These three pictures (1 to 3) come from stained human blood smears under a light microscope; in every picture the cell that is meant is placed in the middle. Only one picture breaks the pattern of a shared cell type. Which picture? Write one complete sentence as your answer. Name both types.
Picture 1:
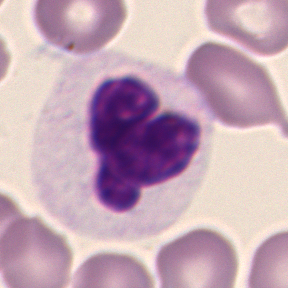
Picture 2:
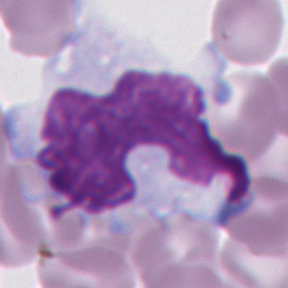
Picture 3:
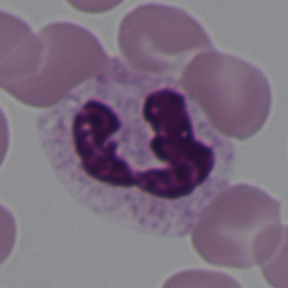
All pictures except 2 show segmented neutrophils; picture 2 shows a monocyte.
